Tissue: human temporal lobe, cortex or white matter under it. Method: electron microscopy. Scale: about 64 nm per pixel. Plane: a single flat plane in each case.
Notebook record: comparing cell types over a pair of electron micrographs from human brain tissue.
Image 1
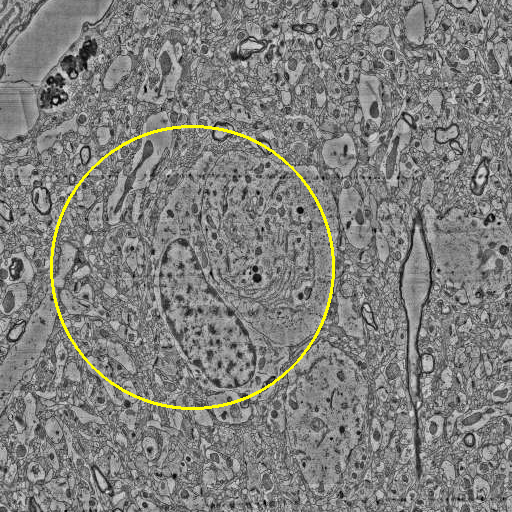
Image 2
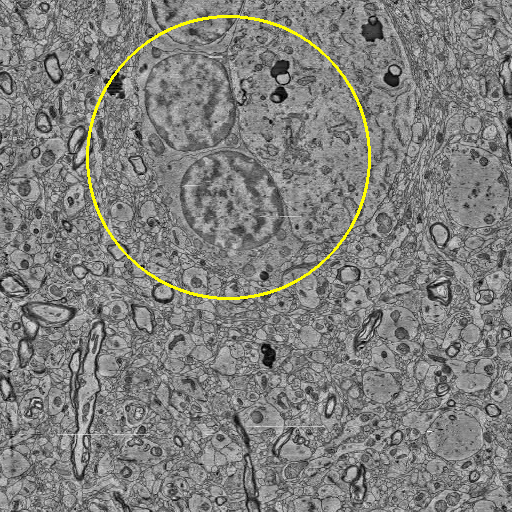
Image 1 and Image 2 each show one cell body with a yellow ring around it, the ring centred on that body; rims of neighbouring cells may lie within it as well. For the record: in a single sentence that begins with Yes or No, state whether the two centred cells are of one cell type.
No, two cell types are found among the centred cells of Image 1 and Image 2.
